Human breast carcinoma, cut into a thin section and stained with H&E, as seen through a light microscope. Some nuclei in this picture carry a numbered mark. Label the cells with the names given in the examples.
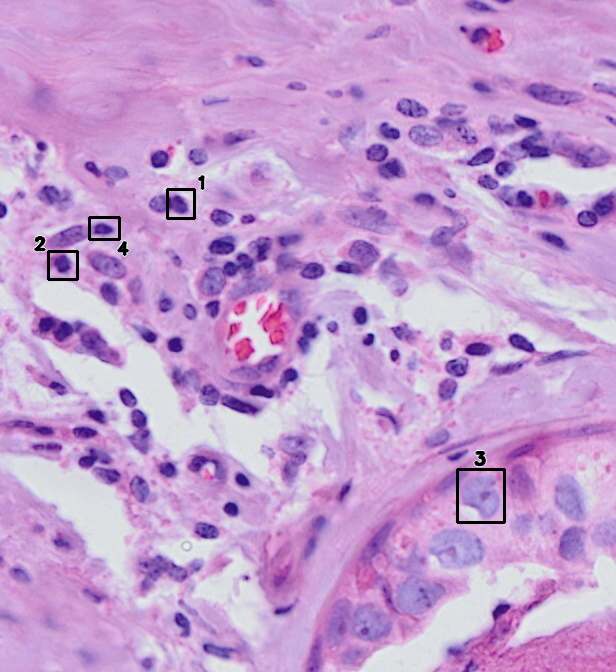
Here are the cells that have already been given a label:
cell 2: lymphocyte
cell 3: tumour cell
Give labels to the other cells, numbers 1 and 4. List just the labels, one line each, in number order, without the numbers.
lymphocyte
lymphocyte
